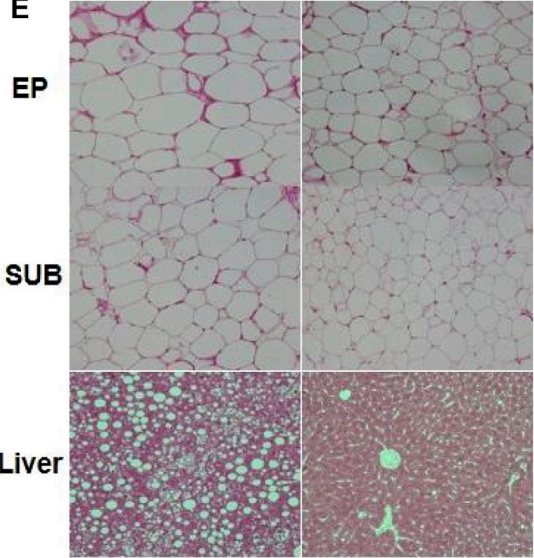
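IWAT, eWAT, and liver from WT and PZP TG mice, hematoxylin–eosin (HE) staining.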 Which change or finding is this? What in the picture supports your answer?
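The bottom left liver image is filled with many round, clear vacuoles of various sizes. The bottom right liver image has pink tissue with few clear spaces other than vessel openings.
Conclusion: lipid accumulation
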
